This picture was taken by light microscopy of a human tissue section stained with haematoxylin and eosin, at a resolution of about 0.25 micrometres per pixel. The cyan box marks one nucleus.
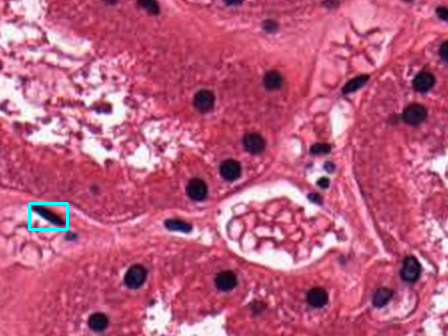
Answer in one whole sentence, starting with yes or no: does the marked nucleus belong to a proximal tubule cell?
No, that the marked nucleus belongs to a proximal tubule cell does not hold; it belongs to a supporting cell.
